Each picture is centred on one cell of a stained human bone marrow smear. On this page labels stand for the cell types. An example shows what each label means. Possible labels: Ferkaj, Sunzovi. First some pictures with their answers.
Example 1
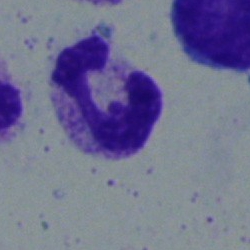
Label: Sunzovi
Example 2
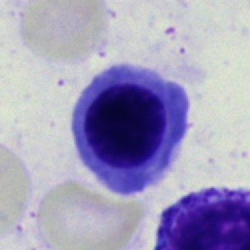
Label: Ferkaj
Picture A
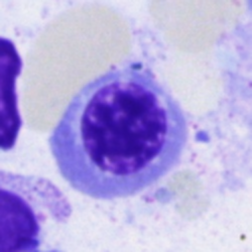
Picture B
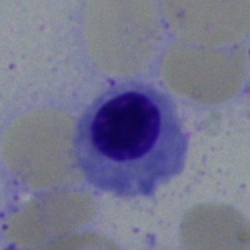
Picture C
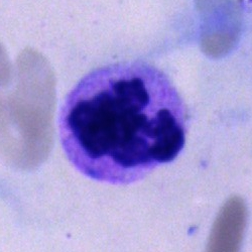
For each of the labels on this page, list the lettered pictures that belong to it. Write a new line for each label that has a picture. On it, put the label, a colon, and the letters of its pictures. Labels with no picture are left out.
Ferkaj: A, B
Sunzovi: C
